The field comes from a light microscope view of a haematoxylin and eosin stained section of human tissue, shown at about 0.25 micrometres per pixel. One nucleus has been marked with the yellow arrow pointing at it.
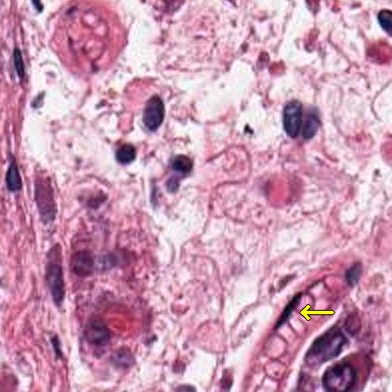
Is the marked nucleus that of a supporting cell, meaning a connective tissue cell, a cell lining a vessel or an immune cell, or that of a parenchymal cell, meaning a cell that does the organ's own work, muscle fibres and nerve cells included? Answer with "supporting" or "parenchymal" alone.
supporting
